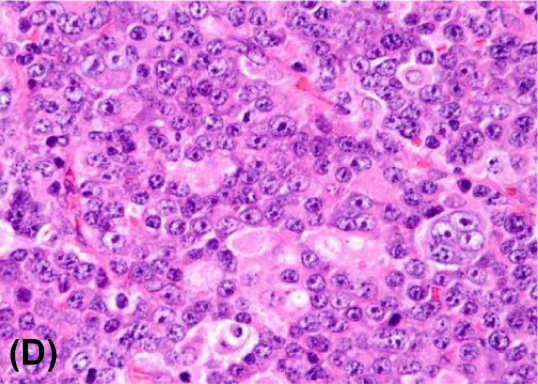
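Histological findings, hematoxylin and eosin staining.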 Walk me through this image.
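Tumour tissue of sheets of large mononuclear neoplastic cells in pink-purple staining. Nuclei are round to oval, vesicular, with coarse chromatin and prominent nucleoli, and vary in size; some are hyperchromatic or irregular. Cytoplasm is moderate and purplish. Cells lie closely packed with little intervening stroma, crossed by thin pink fibrous strands and small vessels with red cells. A few cells with two or more nuclei are scattered among them.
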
